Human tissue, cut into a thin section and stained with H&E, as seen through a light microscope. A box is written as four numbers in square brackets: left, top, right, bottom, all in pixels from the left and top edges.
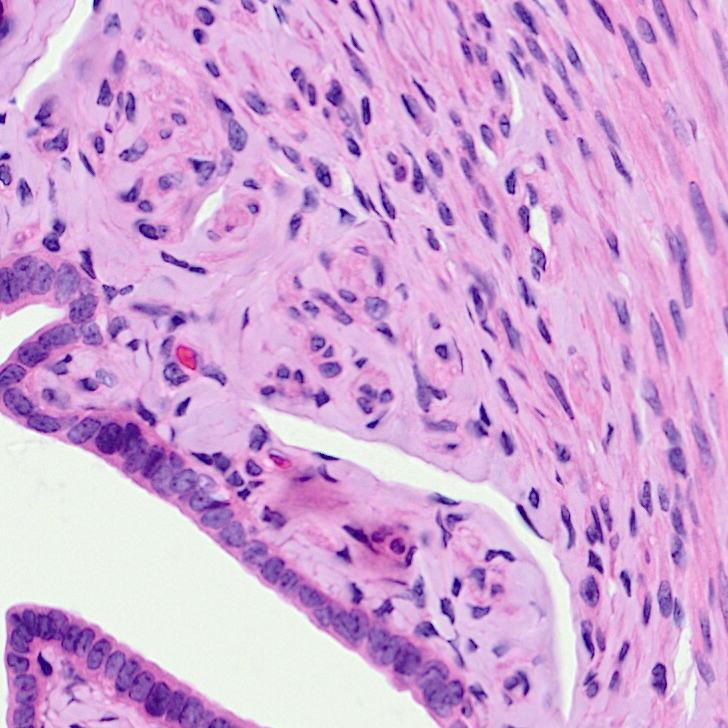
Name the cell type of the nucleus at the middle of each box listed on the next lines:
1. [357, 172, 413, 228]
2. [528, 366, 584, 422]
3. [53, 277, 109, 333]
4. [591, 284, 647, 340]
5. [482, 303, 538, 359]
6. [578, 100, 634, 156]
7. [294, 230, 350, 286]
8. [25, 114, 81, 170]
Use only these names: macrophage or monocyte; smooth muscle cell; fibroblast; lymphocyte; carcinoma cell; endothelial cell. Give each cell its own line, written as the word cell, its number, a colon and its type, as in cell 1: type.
cell 1: fibroblast
cell 2: smooth muscle cell
cell 3: carcinoma cell
cell 4: smooth muscle cell
cell 5: smooth muscle cell
cell 6: smooth muscle cell
cell 7: smooth muscle cell
cell 8: endothelial cell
